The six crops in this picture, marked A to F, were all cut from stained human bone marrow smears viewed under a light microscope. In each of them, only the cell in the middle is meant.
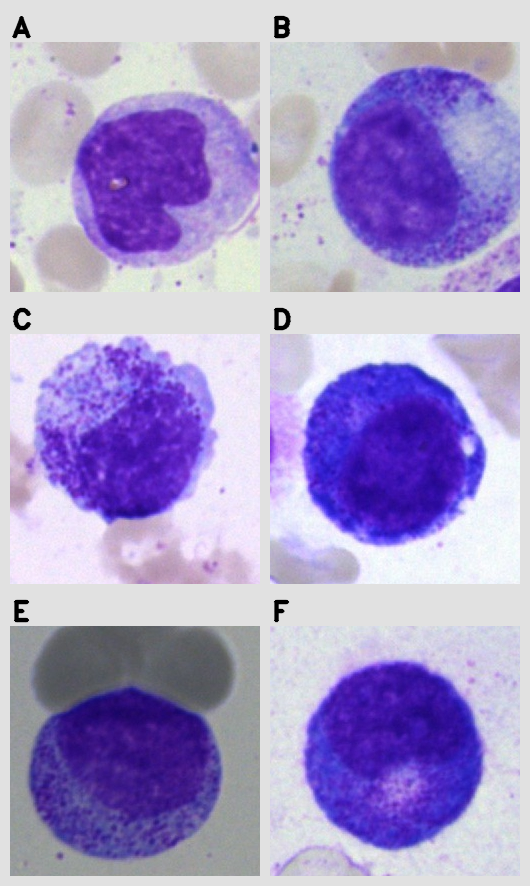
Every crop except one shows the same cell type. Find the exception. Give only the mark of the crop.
A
